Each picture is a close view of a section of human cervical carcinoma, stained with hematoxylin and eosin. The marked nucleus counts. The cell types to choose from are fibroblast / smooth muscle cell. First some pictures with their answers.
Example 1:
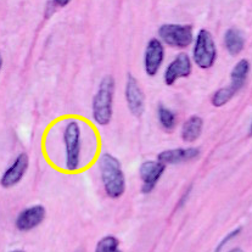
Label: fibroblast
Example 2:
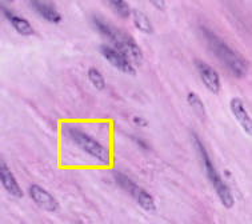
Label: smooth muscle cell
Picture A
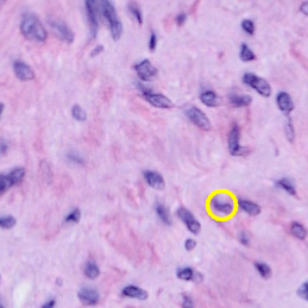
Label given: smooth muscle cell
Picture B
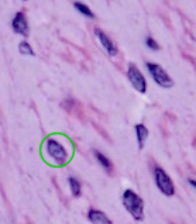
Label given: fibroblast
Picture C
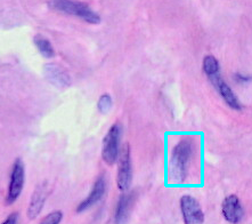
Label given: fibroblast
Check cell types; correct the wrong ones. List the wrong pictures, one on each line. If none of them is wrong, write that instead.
B: not fibroblast but smooth muscle cell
